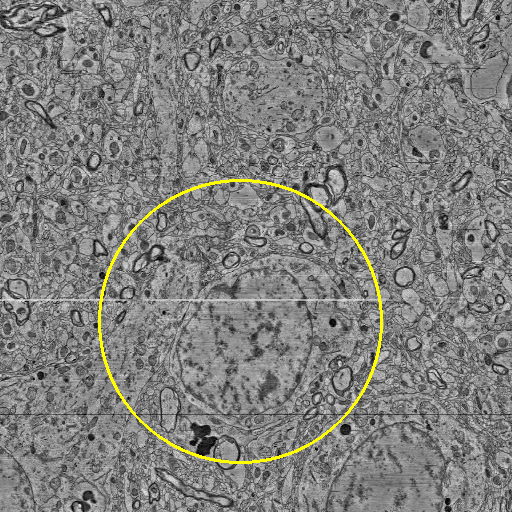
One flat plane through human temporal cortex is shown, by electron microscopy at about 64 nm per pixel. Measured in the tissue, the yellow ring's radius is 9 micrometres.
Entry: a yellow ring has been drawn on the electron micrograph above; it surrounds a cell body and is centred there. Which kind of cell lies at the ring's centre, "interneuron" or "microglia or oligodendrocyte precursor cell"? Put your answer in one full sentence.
The cell sitting at the ring's centre is an interneuron in the micrograph above.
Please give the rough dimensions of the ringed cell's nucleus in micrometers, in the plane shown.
In this plane the nucleus measures roughly 10 by 8 micrometers.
